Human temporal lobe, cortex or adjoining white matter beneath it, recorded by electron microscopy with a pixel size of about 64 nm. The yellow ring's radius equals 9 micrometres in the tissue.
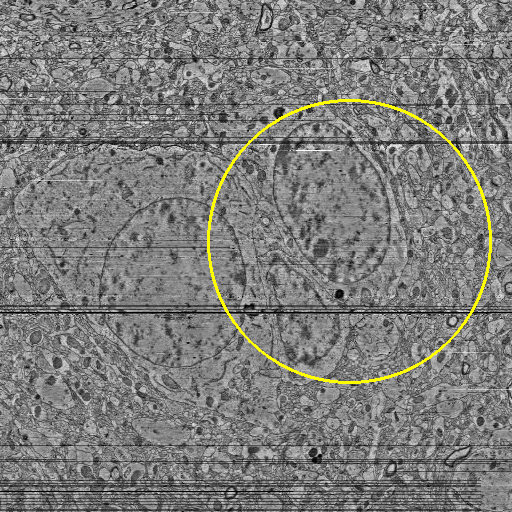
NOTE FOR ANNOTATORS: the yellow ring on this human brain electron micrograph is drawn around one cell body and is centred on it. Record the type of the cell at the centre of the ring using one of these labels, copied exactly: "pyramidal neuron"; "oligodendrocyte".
pyramidal neuron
